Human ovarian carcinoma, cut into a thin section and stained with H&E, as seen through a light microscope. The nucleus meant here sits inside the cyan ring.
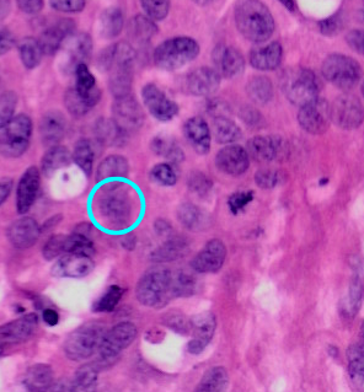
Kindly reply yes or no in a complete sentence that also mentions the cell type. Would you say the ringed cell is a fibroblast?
No, on this one the ringed cell is a carcinoma cell, not a fibroblast.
